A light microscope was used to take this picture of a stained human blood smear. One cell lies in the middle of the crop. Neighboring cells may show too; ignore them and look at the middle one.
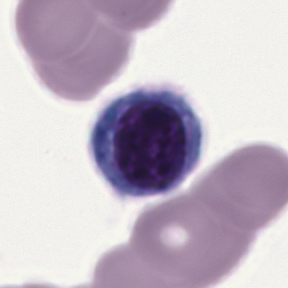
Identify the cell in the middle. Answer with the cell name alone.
plasma cell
